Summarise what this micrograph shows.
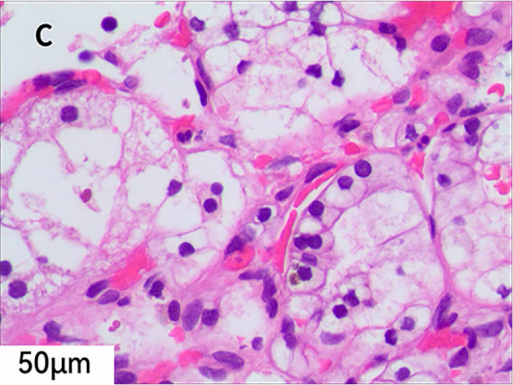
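This shows tumor cells with abundant clear cytoplasm and distinct cell borders, arranged in nests. The cytoplasm looks empty or finely wispy, bounded by thin pink membranes. The nuclei are small, round and dark purple, some lying at the edge of the cells. Delicate thin-walled capillaries containing red blood cells run between the nests.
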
